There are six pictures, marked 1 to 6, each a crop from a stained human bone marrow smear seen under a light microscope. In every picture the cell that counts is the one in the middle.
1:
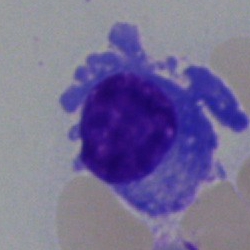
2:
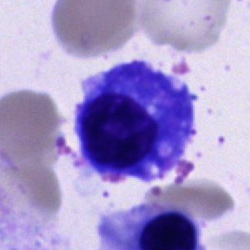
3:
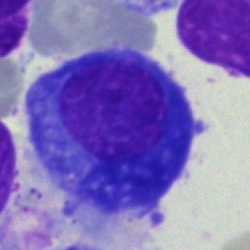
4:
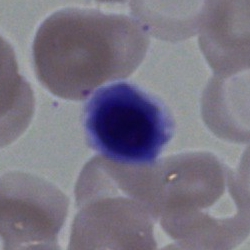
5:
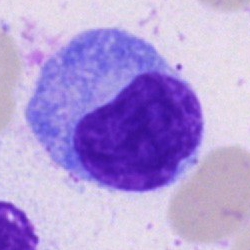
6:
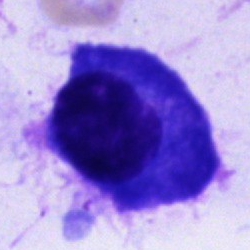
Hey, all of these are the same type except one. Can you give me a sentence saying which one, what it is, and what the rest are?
Crop 4 differs, its cell being an erythroblast, whereas the other crops show plasma cells.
